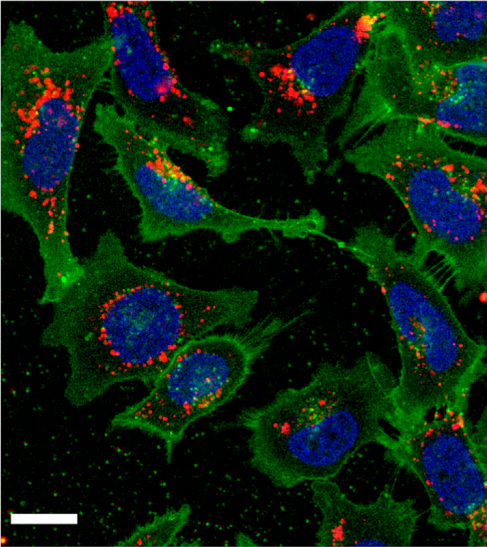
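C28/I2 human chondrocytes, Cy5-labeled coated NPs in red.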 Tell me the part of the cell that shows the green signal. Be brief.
plasma membrane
